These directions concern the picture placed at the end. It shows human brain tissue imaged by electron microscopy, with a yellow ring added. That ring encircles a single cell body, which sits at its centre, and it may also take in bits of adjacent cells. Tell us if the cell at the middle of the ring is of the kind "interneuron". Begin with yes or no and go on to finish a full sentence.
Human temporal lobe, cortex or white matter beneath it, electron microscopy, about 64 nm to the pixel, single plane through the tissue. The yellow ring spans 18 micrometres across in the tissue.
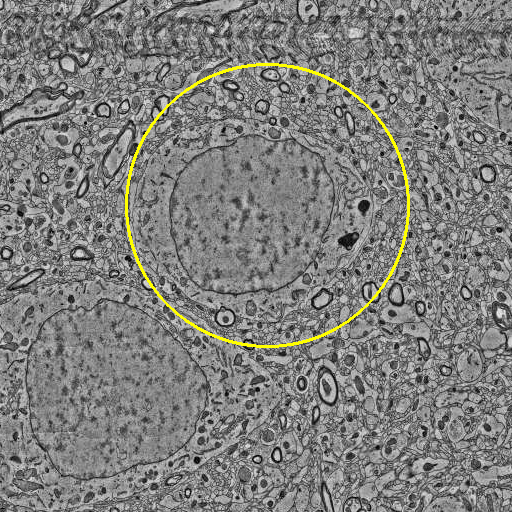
No, the cell sitting at the centre of the yellow ring in the picture belongs to another kind.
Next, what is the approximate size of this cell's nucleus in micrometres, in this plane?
In this plane the ringed cell's nucleus is roughly 11 micrometres across.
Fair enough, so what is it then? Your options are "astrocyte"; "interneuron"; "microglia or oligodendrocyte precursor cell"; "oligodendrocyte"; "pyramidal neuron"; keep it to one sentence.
That cell in the ring is a pyramidal neuron instead.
